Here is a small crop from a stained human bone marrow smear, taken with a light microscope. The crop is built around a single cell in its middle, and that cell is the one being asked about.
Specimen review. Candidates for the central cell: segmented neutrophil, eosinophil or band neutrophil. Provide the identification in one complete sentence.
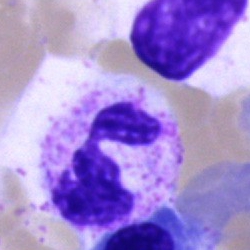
In the center of this field lies a segmented neutrophil.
